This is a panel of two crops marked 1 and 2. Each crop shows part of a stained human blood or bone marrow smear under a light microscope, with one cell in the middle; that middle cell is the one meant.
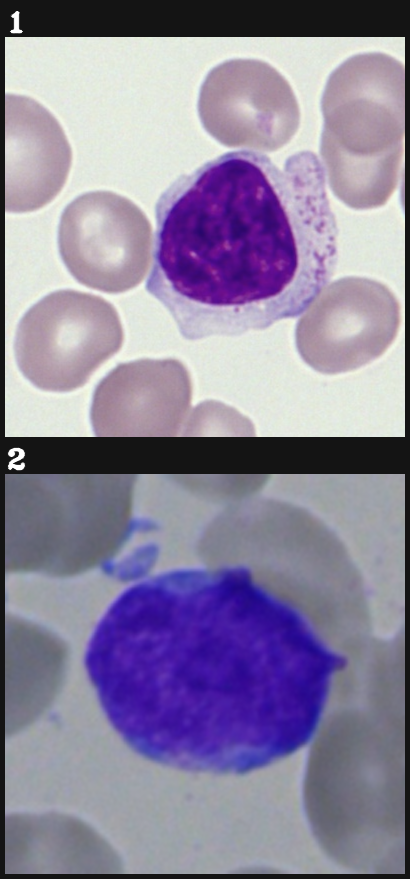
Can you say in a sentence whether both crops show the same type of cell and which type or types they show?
No, in crop 2 the central cell is a blast, and in crop 1 it is a lymphocyte.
